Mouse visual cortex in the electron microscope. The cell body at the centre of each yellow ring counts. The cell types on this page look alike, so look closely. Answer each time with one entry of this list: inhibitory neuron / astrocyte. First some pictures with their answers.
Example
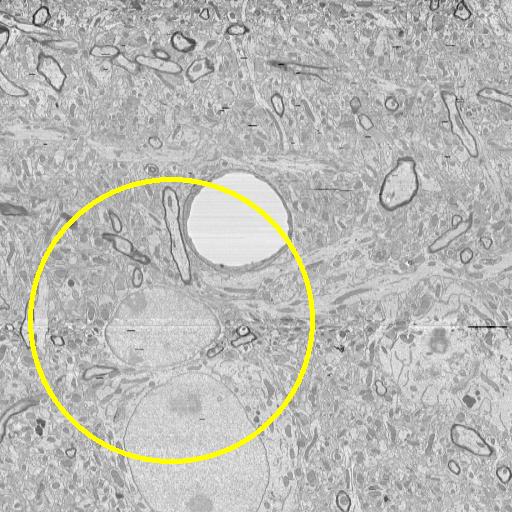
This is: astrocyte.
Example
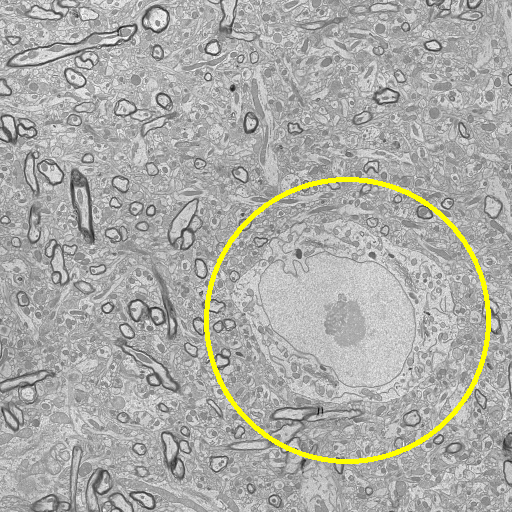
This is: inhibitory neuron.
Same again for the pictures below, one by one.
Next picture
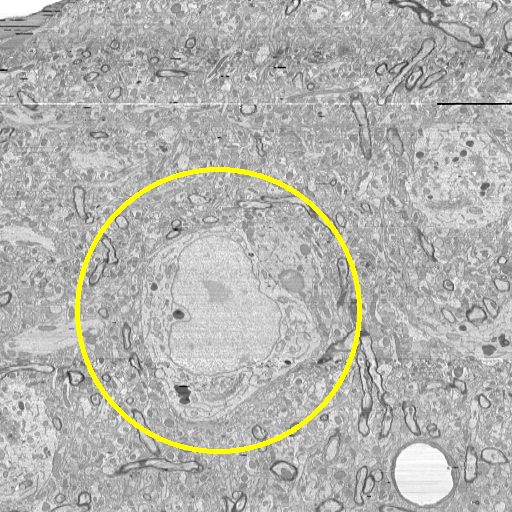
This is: inhibitory neuron.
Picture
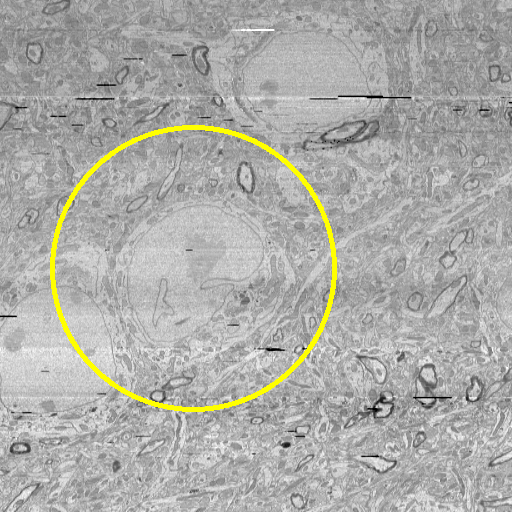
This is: inhibitory neuron.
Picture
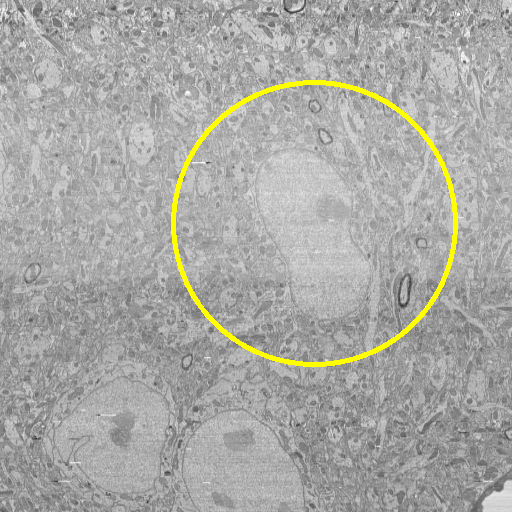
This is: astrocyte.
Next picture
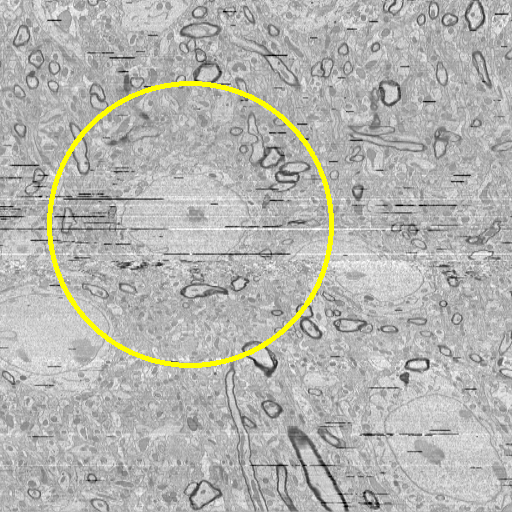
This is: inhibitory neuron.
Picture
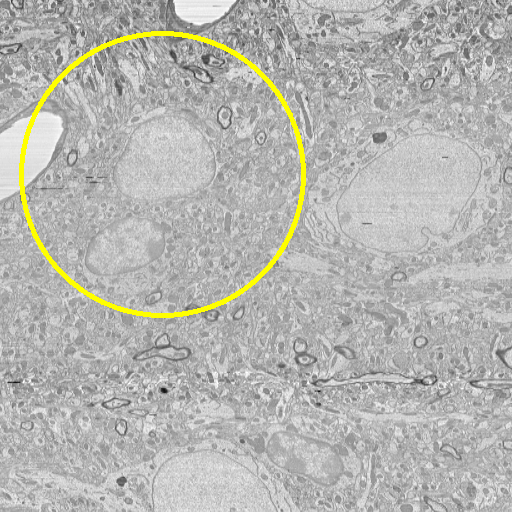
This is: astrocyte.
